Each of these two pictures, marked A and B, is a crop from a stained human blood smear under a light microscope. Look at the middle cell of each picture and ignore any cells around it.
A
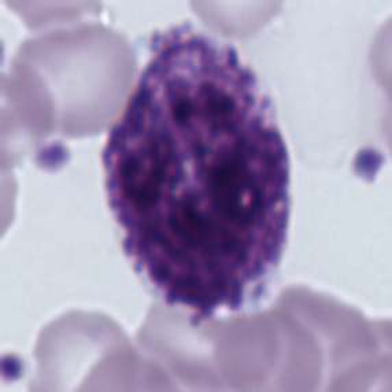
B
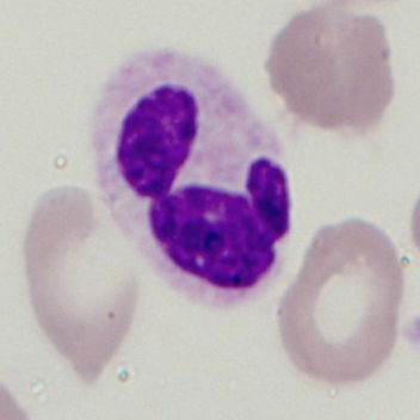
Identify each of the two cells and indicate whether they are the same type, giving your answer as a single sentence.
No, crop A displays a basophil, and crop B displays a segmented neutrophil.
